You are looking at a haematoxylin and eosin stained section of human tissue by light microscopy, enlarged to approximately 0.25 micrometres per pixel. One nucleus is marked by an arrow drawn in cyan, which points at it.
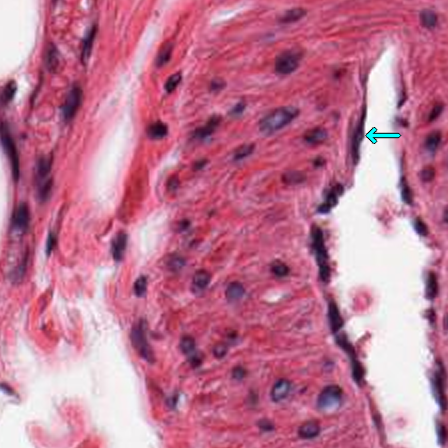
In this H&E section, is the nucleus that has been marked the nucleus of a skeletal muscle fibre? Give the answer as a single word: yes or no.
no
